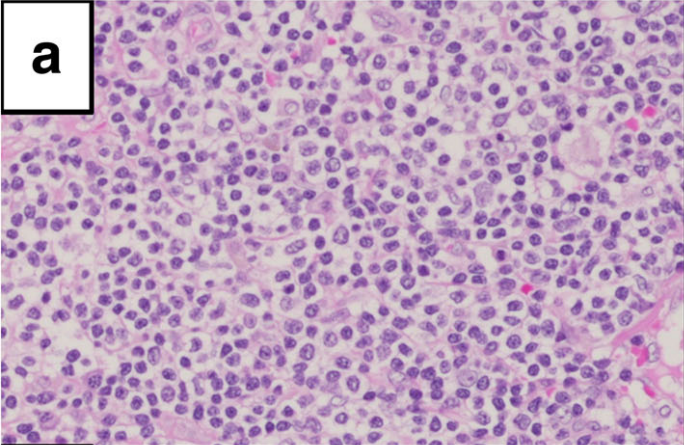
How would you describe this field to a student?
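A densely cellular field of small inflammatory cells, lymphocytes and plasma cells, packed in sheets. The nuclei are round and dark, with coarse clumped chromatin; many sit off-centre in a modest rim of pale purple cytoplasm, while others have scant cytoplasm. The cells are fairly uniform in size and lie closely together without glandular or layered arrangement. Scattered bright red blood cells are seen between them, and thin wisps of pink fibrous material appear at the right edge and lower corner, with small pale clear spaces among the cells.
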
